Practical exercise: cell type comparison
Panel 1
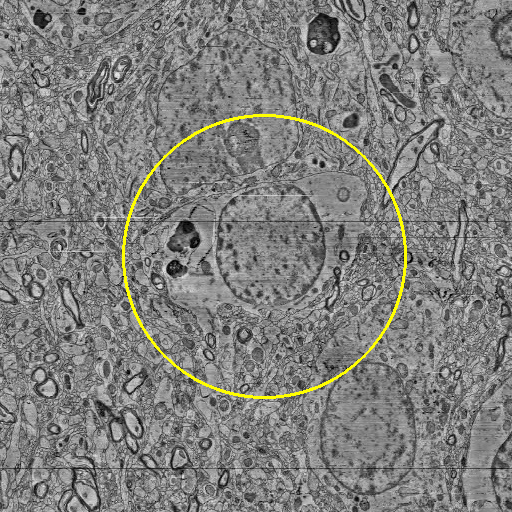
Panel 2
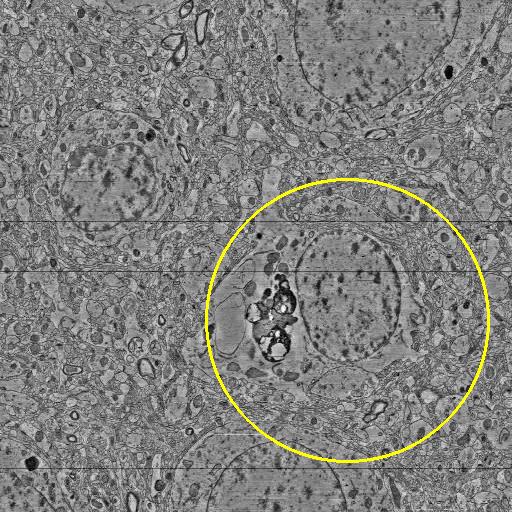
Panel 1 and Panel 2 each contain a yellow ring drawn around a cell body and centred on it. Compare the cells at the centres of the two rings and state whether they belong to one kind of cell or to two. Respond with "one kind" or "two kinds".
one kind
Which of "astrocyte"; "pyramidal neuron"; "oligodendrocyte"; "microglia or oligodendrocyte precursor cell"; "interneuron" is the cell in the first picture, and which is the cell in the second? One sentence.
Both cells are the same kind, each one being an astrocyte.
